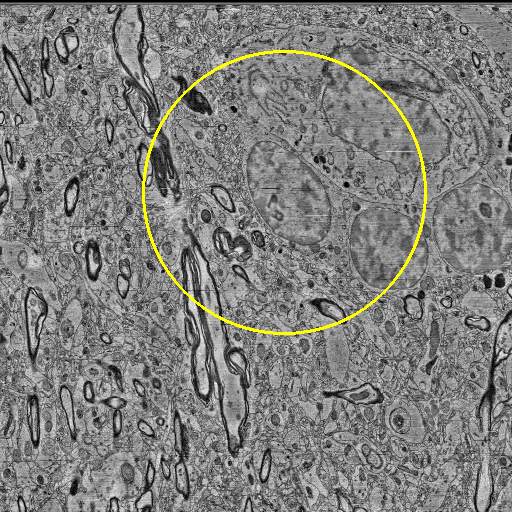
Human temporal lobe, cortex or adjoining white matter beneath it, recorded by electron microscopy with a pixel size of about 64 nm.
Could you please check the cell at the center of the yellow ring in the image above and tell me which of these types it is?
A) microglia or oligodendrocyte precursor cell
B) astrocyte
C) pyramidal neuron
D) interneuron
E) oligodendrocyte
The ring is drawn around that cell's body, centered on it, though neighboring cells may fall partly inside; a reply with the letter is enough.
E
